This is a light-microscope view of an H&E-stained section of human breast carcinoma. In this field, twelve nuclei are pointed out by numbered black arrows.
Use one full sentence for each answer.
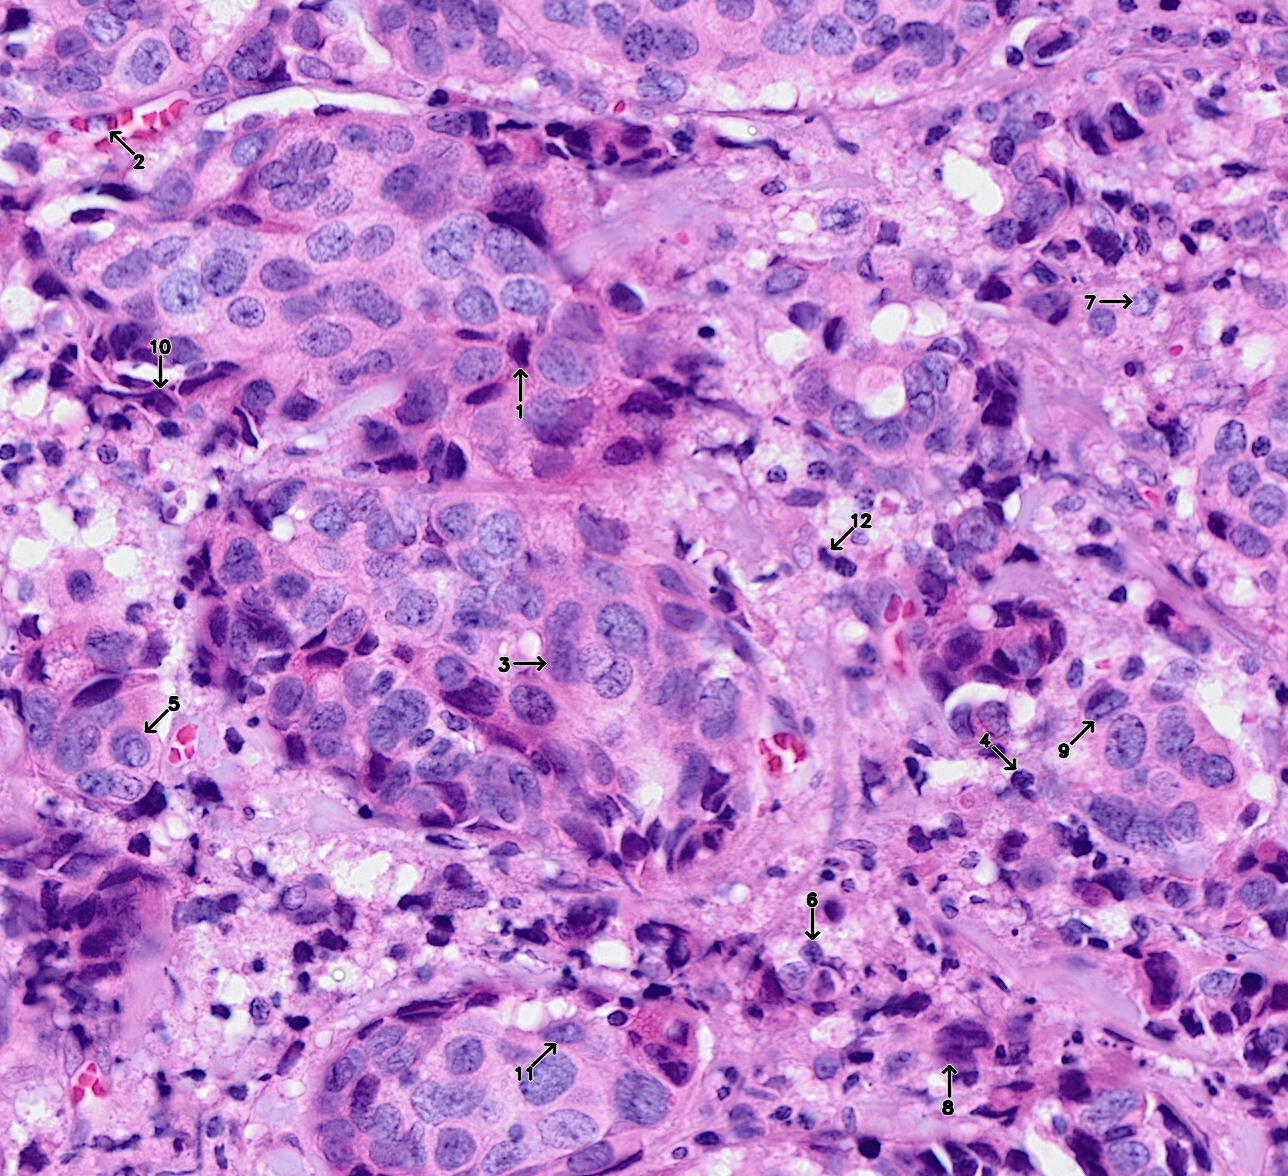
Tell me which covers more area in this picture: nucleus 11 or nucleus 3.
Of the two, number 3 is bigger and takes up about 2 times the area of number 11.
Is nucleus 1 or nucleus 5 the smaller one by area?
With nucleus 5 about 2 times its size, nucleus 1 is the smaller of the two.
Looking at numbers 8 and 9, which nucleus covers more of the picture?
At about 3 times the area of nucleus 8, nucleus 9 is the larger of the two.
